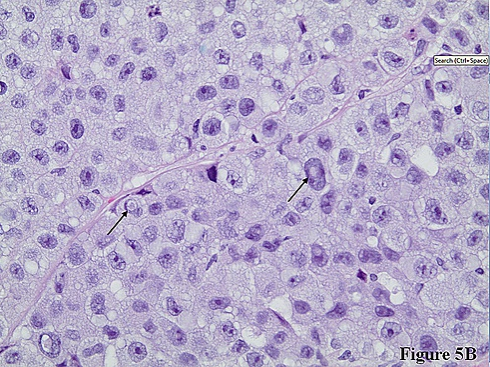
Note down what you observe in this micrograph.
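Sheet of large polygonal malignant tumor cells with abundant pale pink-violet, finely granular cytoplasm and fairly distinct cell borders. Nuclei are round to oval, often eccentric, and vary clearly in size and shape; several show a single conspicuous nucleolus. Some nuclei contain a round pale inclusion-like area bounded by a rim of nuclear material. A few cells have clear cytoplasmic vacuoles. A thin strand of pink fibrous stroma with slender dark elongated nuclei runs diagonally across the field between groups of tumor cells. Cells lie closely packed without glandular arrangement.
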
